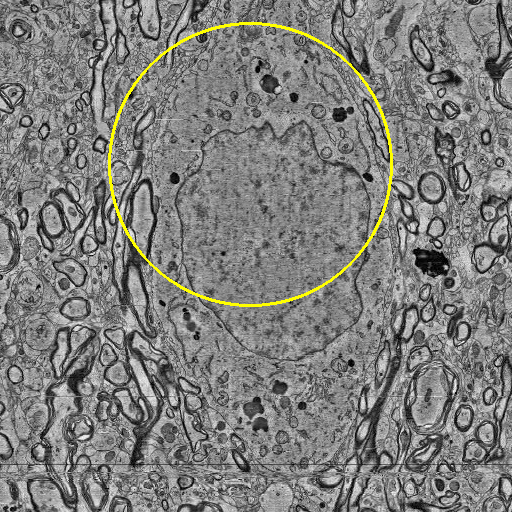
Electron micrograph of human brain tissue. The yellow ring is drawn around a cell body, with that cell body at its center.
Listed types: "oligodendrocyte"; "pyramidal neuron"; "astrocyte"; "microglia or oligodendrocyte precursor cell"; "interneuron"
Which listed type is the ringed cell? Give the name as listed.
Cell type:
pyramidal neuron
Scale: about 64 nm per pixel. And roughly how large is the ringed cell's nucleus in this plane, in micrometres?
The nucleus appears roughly 16 by 13 micrometres in this plane.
